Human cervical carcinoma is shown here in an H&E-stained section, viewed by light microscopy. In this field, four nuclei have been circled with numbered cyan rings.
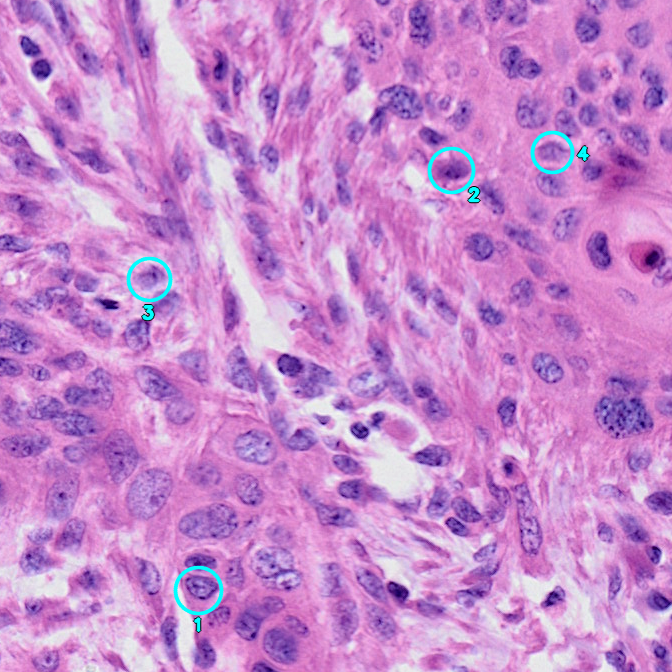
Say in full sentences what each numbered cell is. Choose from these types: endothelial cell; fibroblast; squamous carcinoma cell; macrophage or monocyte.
Cells 1, 2 and 4 are squamous carcinoma cells. Cell 3 is a fibroblast.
